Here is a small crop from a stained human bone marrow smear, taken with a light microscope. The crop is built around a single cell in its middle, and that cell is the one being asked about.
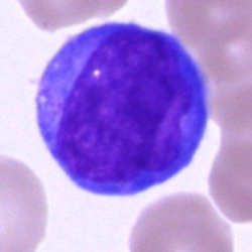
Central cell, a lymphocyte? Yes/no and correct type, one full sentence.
No, the cell under consideration is a blast instead of a lymphocyte.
